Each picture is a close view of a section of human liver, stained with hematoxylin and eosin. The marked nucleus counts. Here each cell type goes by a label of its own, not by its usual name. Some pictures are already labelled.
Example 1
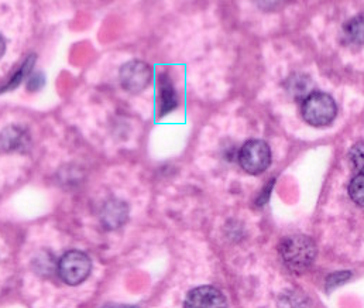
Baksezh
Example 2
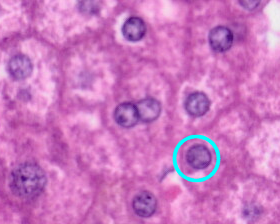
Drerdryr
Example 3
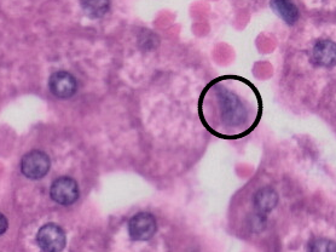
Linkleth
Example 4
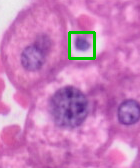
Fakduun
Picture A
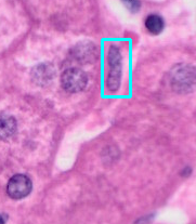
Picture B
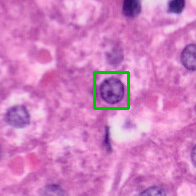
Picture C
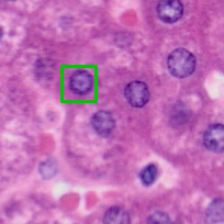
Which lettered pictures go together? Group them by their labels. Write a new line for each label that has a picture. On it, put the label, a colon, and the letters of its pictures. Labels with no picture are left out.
Drerdryr: B, C
Linkleth: A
